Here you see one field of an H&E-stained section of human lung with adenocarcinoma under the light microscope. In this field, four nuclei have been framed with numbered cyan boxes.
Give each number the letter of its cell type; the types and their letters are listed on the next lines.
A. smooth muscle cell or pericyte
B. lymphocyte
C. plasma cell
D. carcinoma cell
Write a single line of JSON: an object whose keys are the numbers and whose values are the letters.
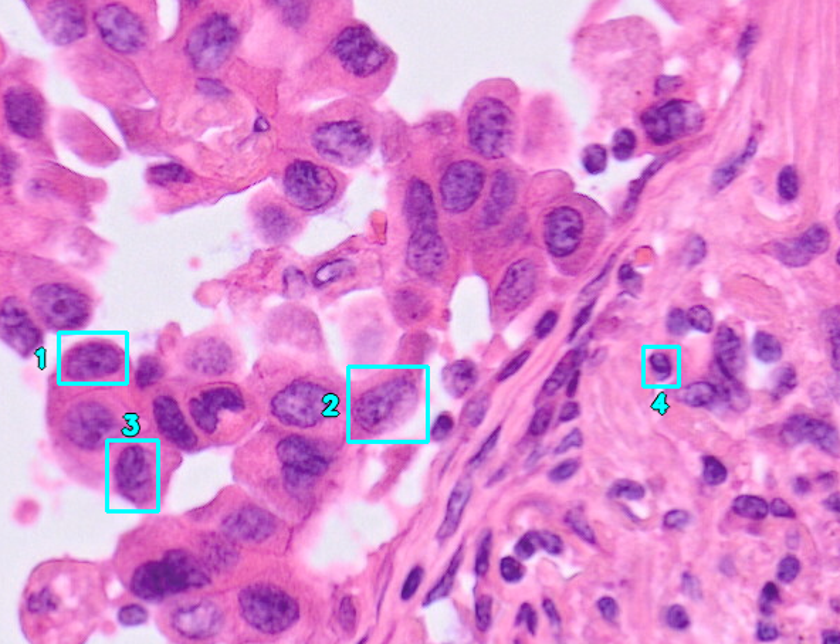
{"1": "D", "2": "D", "3": "D", "4": "B"}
